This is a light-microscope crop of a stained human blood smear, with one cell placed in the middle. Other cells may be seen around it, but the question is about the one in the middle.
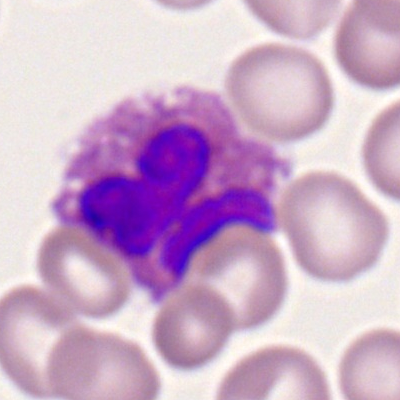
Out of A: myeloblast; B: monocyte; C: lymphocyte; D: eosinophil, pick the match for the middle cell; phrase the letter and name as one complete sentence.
In the middle of the crop is an eosinophil; option D is therefore correct.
